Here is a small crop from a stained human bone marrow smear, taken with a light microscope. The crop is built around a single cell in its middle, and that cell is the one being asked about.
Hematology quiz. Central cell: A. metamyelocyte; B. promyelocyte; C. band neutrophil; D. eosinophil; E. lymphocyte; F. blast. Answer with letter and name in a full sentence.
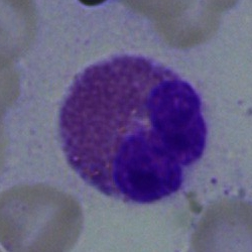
The right choice is option D: the cell in the middle is an eosinophil.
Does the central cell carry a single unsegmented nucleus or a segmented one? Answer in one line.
The nucleus is divided into two or more distinct lobes.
